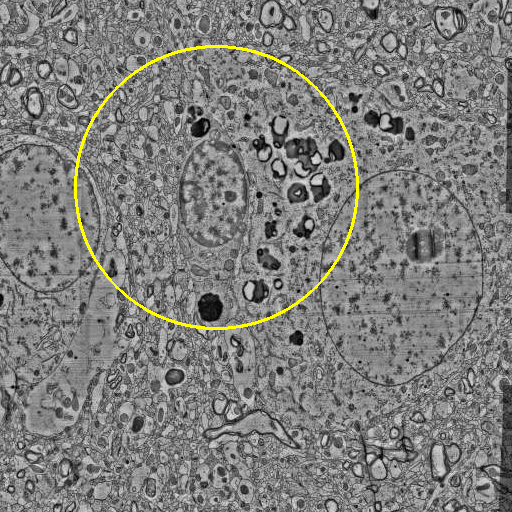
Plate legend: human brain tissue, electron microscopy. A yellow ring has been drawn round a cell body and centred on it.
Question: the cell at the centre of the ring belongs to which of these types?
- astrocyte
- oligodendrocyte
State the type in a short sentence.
The cell in the middle of the ring is an oligodendrocyte.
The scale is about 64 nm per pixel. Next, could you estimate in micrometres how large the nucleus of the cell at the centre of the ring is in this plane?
The ringed cell's nucleus is about 7 micrometres long and 5 micrometres wide in this plane.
